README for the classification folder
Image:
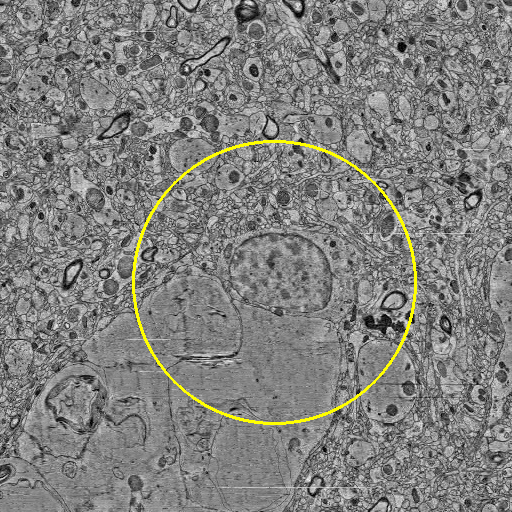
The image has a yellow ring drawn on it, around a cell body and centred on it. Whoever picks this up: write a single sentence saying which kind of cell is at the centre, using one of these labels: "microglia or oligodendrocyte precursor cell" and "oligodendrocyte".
This cell body is that of an oligodendrocyte.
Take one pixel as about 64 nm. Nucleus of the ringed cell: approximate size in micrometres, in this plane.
In this plane the nucleus measures roughly 7 by 5 micrometers.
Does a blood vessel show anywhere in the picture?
Yes, there is a blood vessel in the image.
